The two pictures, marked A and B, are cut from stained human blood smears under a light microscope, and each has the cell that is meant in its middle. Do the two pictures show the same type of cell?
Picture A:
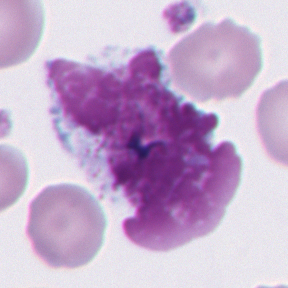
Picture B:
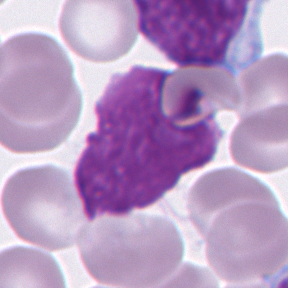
yes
